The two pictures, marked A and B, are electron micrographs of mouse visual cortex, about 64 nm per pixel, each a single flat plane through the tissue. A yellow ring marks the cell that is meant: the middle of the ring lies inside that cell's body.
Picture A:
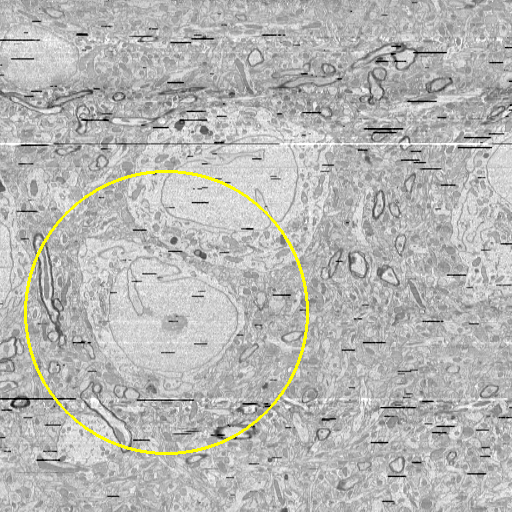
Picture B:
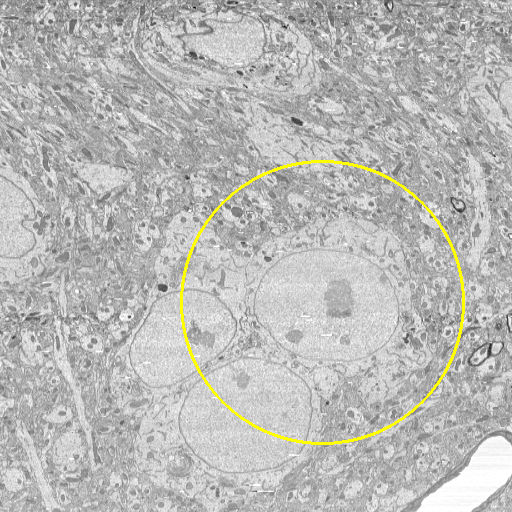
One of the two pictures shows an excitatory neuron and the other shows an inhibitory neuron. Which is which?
Picture A shows an inhibitory neuron and picture B shows an excitatory neuron.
